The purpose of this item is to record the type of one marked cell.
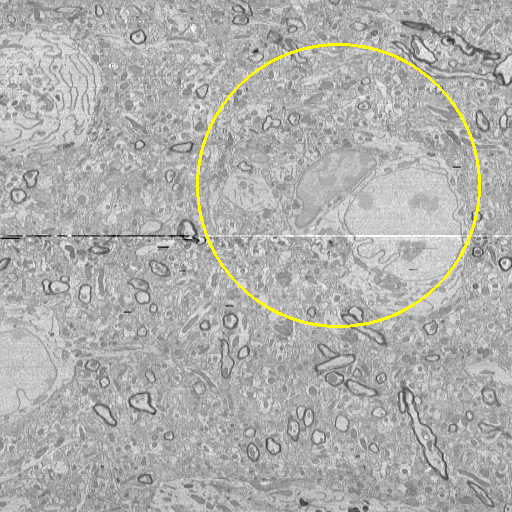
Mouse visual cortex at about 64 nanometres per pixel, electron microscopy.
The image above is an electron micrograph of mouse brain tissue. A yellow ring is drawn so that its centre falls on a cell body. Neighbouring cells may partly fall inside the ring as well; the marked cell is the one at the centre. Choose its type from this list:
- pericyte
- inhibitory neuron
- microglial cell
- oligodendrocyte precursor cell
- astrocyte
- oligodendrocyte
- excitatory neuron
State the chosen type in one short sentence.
What the ring marks here is a microglial cell.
